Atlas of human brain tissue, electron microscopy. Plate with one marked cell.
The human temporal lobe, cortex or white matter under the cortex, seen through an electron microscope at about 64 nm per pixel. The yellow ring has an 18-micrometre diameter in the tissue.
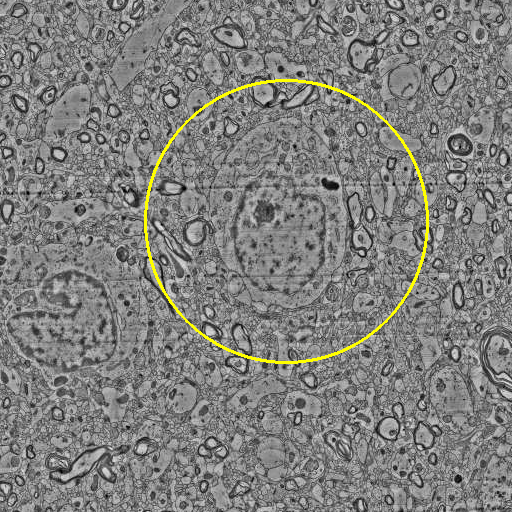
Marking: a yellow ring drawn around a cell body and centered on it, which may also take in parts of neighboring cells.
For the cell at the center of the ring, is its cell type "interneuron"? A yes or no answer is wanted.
Yes, that is its cell type.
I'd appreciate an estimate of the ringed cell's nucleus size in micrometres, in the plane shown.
The ringed cell's nucleus measures approximately 8 by 6 micrometres in this plane.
